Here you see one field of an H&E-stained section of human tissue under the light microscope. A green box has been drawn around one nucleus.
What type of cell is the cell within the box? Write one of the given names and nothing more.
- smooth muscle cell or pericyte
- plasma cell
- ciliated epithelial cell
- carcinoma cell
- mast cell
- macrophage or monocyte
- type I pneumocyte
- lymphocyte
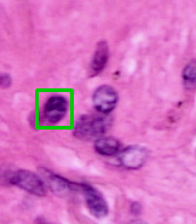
plasma cell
